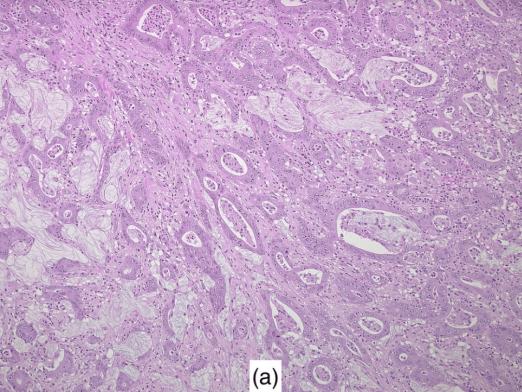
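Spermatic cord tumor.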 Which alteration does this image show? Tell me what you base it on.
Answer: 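Moderately differentiated adenocarcinoma. Irregular glands of varying size and shape are scattered through the tissue. Glands are lined by crowded columnar epithelium. Pale mucinous material lies among the glands in a fibrous stroma.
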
